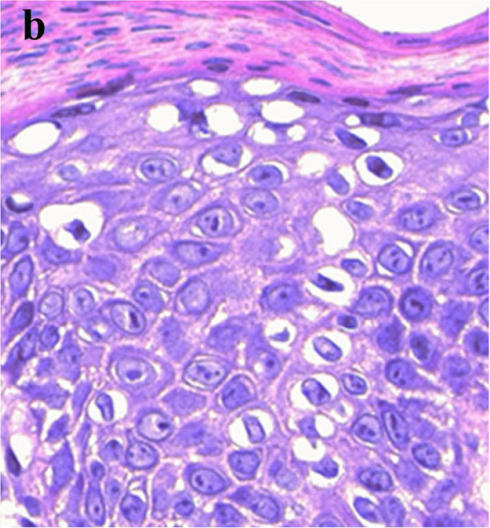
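This is a close view of the epidermis with suprabasal keratinocytes showing marked perinuclear vacuolization. Many of the polygonal keratinocytes have purple, oval nuclei with visible nucleoli, and around the nuclei lie clear, empty halos, some large enough to push the nucleus aside or indent it. The cytoplasm otherwise is pale violet and finely granular. Toward the surface the cells flatten, and the overlying pink cornified layer still holds flattened dark nuclei, consistent with parakeratosis. A distinct granular layer with coarse dark granules is not apparent beneath the cornified layer.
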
